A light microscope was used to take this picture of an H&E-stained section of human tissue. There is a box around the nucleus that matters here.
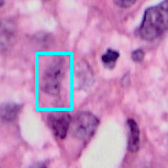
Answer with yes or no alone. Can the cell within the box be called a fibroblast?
no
